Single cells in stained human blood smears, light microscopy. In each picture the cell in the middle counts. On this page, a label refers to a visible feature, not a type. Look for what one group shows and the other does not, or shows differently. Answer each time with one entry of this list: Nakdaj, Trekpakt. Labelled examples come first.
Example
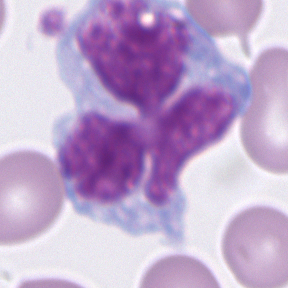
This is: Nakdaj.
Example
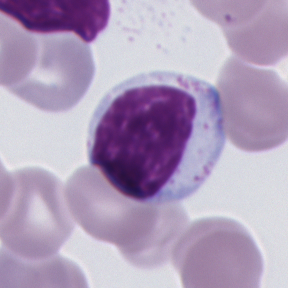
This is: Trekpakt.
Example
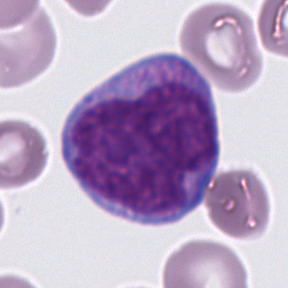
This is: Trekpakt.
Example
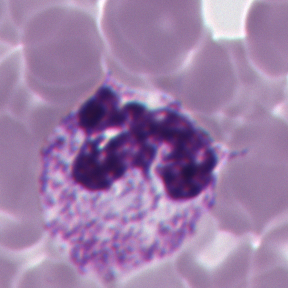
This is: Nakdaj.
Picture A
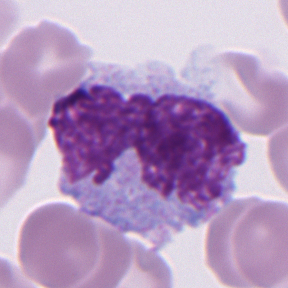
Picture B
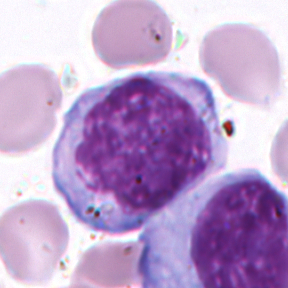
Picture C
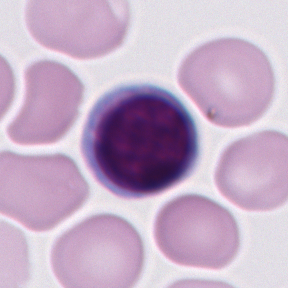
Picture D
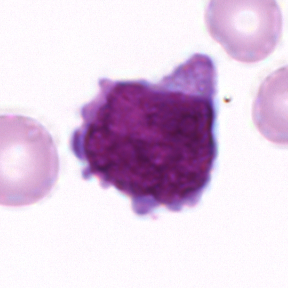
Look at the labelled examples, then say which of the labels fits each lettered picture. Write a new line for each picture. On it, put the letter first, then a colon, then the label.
A: Nakdaj.
B: Trekpakt.
C: Trekpakt.
D: Nakdaj.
